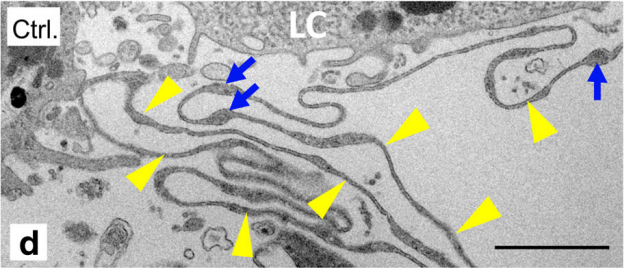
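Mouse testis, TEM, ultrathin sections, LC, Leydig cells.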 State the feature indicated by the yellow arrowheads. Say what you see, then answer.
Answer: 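Labyrinths. Many long, thin membrane-bound processes loop and wind around each other. The processes form a tangled meshwork in the interstitial space.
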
